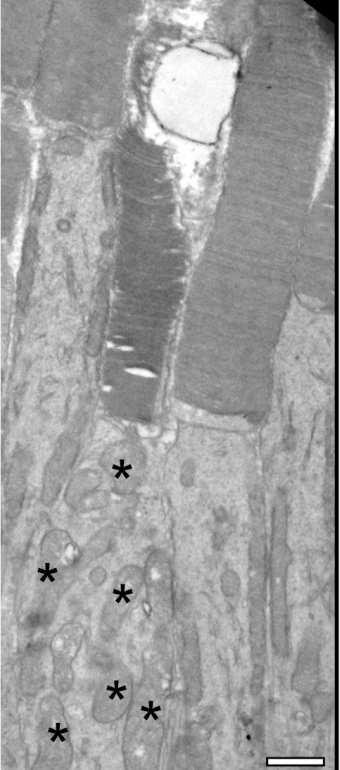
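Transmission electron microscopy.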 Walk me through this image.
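Electron micrograph of rod photoreceptors of the retina with outer segments at the top and inner segments below. The outer segments show regular stacks of parallel membrane discs; near the top a large rounded, clear, membrane-bounded space sits at the end of one outer segment. In the inner segment region, several mitochondria are enlarged and rounded, with pale interiors, vacuole-like clear areas and few cristae. Adjacent inner segments contain thinner, elongated mitochondria oriented along the cells' length, and the cytoplasm between them is finely granular.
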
